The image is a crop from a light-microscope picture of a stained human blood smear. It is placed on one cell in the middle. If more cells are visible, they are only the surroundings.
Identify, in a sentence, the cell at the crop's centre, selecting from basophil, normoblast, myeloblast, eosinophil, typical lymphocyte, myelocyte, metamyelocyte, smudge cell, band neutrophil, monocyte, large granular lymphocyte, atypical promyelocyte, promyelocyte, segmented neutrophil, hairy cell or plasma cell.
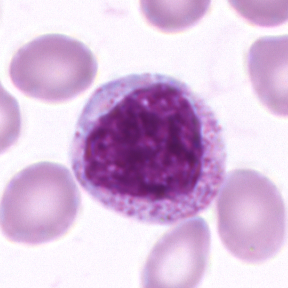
The cell under consideration, at the middle of the crop, is a myelocyte.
